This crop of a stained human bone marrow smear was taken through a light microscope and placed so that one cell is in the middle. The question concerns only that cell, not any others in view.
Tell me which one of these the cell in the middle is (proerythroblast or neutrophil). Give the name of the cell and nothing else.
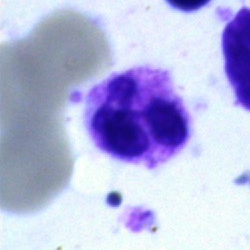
neutrophil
